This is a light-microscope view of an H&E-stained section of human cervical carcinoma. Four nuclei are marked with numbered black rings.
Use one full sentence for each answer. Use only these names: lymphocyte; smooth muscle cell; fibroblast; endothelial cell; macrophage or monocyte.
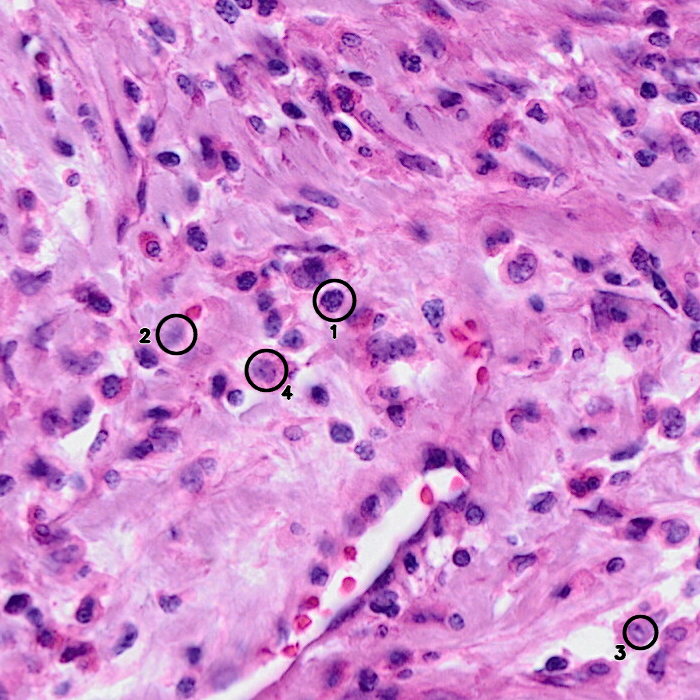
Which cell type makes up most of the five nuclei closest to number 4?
Of the five nuclei nearest to number 4, most belong to lymphocytes.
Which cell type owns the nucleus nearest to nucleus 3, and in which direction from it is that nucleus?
The nearest one is a macrophage or monocyte, found above and to the right of nucleus 3.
